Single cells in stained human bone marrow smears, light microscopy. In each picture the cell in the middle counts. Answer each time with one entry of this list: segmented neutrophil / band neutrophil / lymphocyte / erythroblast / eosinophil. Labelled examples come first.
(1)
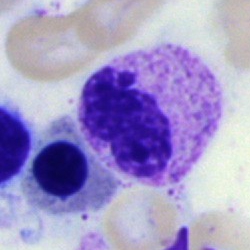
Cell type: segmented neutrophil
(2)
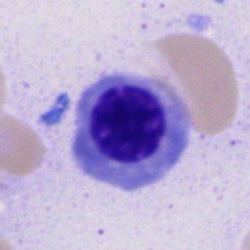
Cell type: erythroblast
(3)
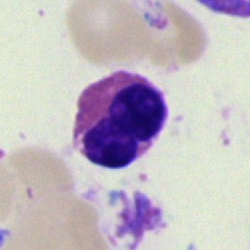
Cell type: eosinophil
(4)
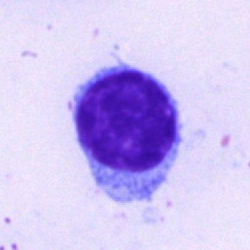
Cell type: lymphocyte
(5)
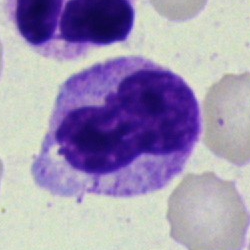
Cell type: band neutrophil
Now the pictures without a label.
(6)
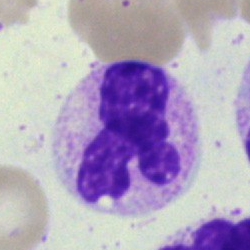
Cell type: segmented neutrophil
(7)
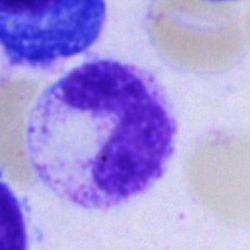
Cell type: band neutrophil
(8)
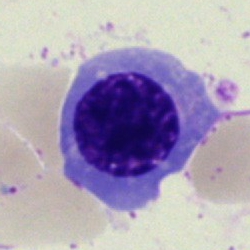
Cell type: erythroblast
